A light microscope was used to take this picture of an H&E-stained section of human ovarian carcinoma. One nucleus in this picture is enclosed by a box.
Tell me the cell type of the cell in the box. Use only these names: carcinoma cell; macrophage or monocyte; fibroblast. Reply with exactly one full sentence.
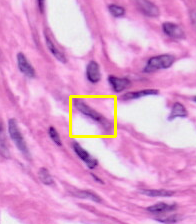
In this section, the cell in the box is a fibroblast.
